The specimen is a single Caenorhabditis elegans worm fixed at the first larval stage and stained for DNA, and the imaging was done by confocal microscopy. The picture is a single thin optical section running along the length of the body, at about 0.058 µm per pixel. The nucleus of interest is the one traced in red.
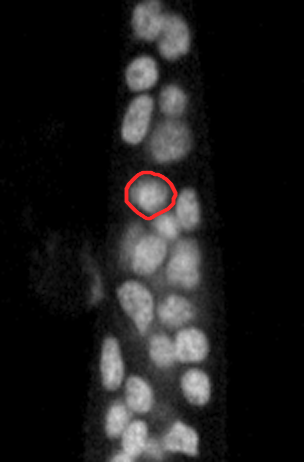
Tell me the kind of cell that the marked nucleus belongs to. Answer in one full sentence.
The marked cell is a neuron.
